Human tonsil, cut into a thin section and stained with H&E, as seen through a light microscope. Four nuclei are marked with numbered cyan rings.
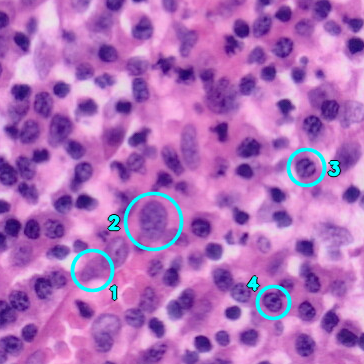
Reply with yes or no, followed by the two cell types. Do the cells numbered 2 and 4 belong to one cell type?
No, cell 2 is an endothelial cell and cell 4 is a plasma cell.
